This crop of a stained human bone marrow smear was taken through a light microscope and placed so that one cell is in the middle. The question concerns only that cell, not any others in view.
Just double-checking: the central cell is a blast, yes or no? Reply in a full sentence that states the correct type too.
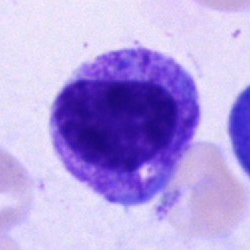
No, the middle one is a myelocyte rather than a blast.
